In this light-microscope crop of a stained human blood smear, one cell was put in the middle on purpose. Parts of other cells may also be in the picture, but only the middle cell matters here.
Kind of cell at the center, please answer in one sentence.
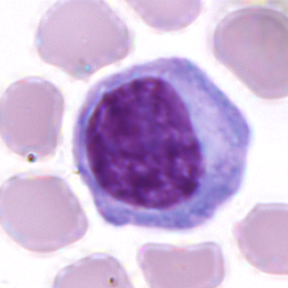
This crop is built around a plasma cell at its centre.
